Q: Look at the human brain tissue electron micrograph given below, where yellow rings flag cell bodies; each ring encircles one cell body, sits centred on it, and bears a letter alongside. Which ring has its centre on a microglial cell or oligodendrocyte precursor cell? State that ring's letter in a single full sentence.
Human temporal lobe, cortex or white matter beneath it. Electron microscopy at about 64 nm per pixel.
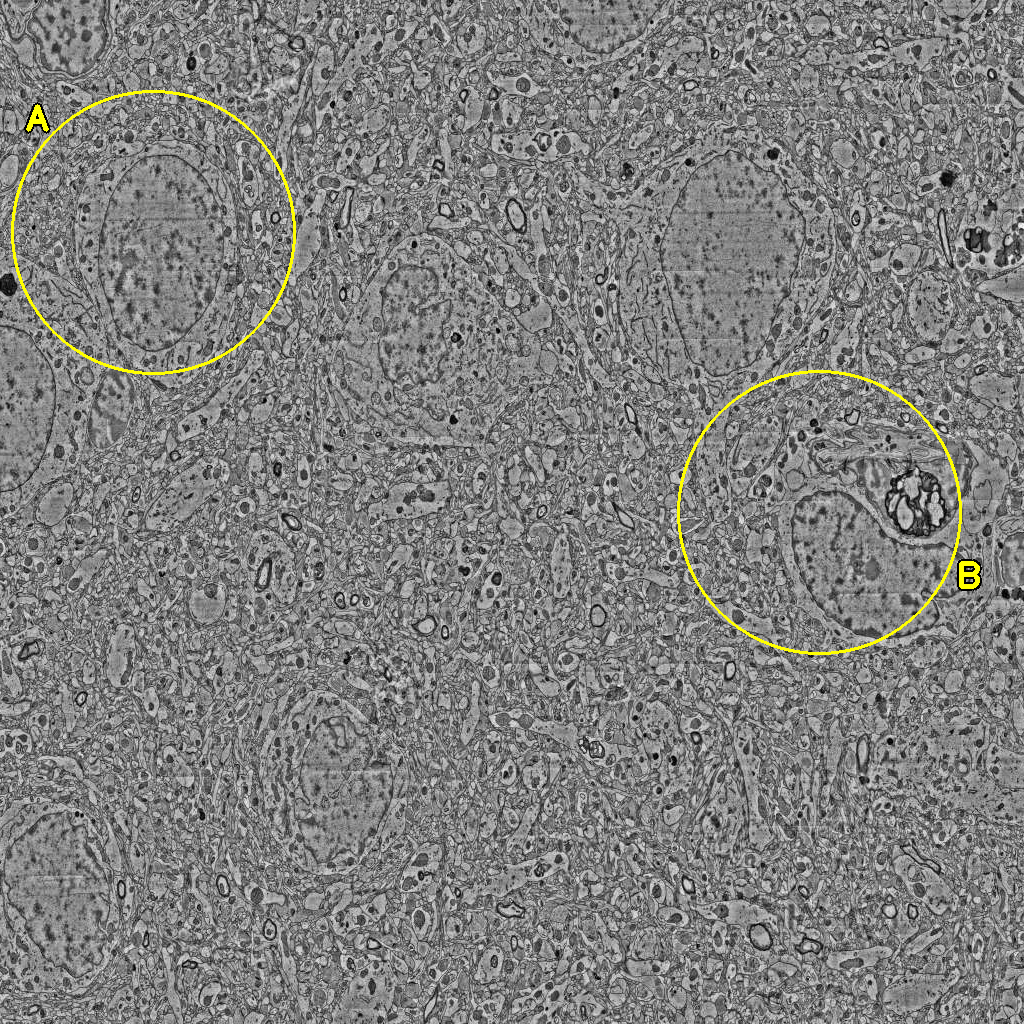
In the picture, the cell of that kind sits at the centre of ring B.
